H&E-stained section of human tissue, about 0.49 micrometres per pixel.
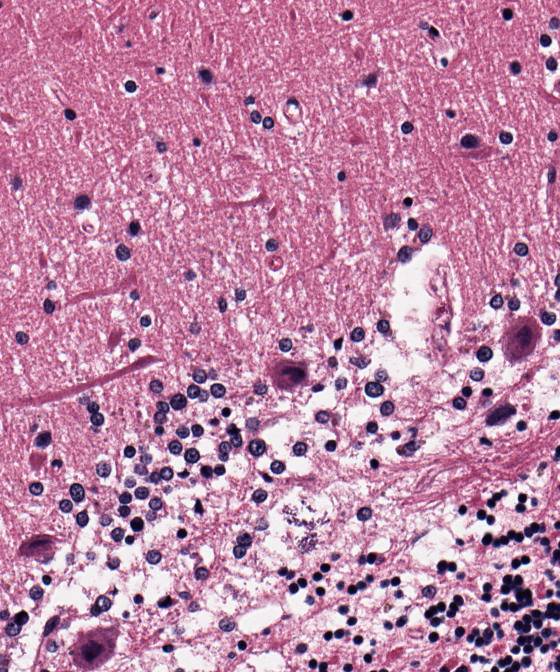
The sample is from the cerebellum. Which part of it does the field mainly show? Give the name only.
molecular layer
